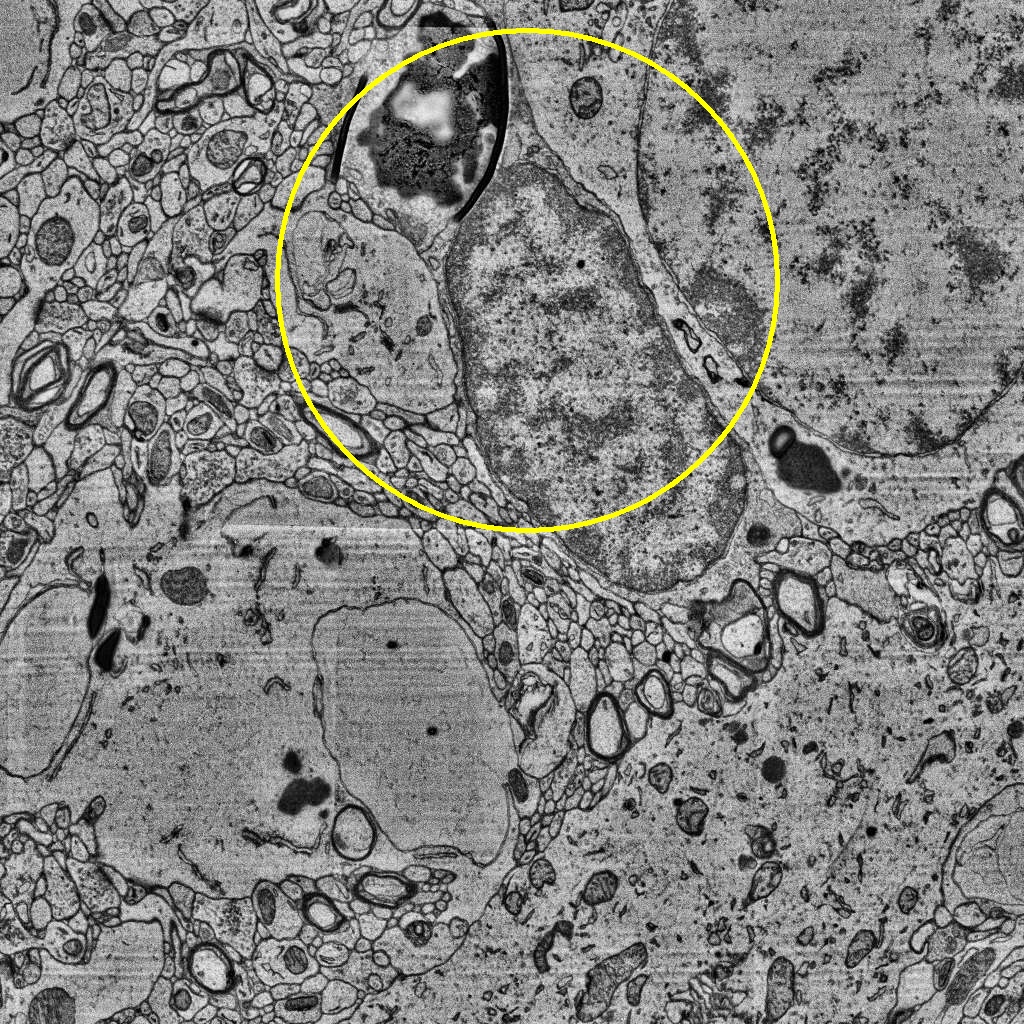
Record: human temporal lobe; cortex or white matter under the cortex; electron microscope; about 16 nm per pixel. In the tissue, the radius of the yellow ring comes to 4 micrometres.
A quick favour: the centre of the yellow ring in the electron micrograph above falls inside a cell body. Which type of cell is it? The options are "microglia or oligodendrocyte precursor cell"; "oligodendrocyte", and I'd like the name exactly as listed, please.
microglia or oligodendrocyte precursor cell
